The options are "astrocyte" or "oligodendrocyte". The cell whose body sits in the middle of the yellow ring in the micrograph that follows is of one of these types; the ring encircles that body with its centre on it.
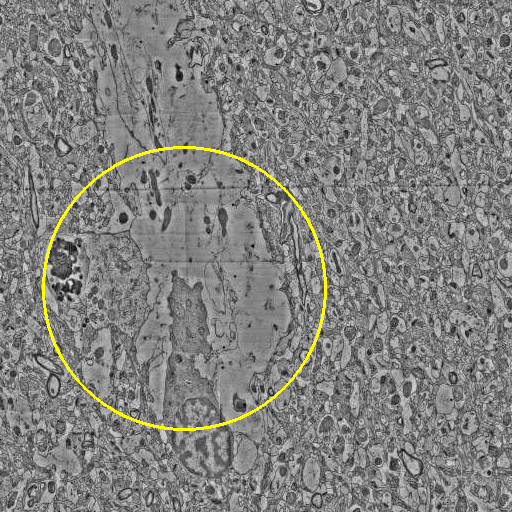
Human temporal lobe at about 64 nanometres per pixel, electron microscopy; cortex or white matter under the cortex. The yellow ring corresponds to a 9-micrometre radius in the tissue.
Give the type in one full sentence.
Going by the micrograph, the cell centred in the yellow ring is an oligodendrocyte.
